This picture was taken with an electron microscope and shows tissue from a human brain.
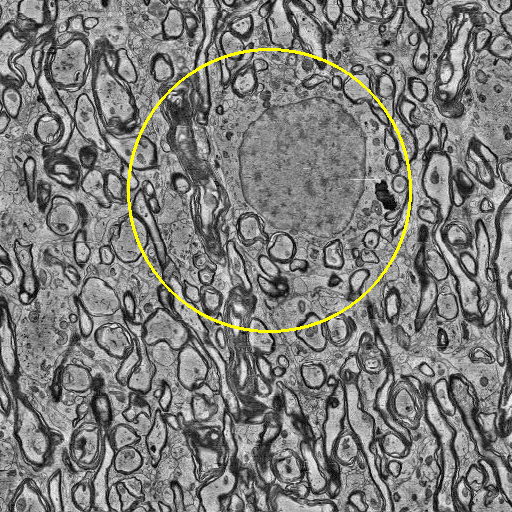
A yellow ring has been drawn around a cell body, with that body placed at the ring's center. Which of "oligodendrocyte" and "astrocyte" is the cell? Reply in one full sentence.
In this picture, an oligodendrocyte is the cell at the center of the yellow ring.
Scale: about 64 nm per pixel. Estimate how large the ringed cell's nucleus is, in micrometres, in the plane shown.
The nucleus measures about 9 micrometers across in this plane.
